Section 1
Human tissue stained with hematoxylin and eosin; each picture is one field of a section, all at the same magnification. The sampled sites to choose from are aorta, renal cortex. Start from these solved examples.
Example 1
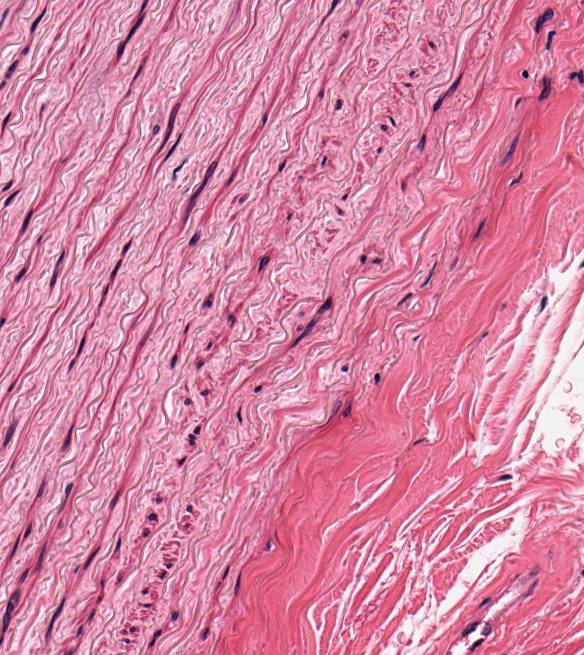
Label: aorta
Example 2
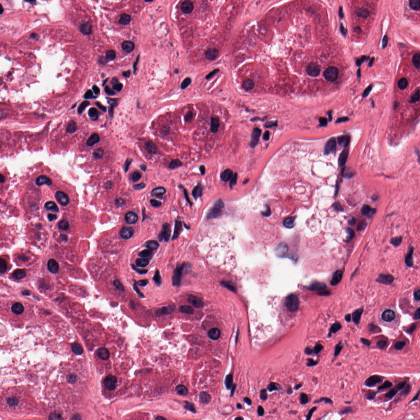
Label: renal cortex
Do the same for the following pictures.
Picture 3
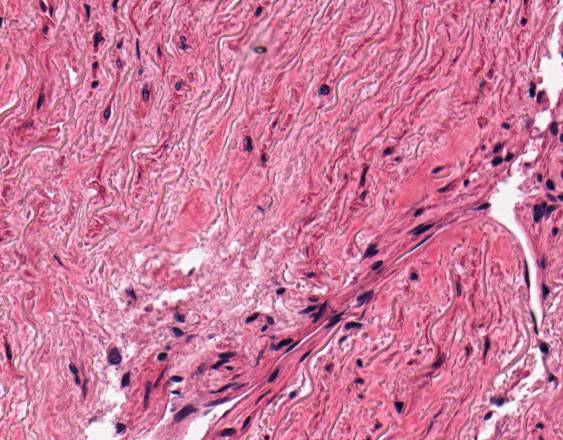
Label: aorta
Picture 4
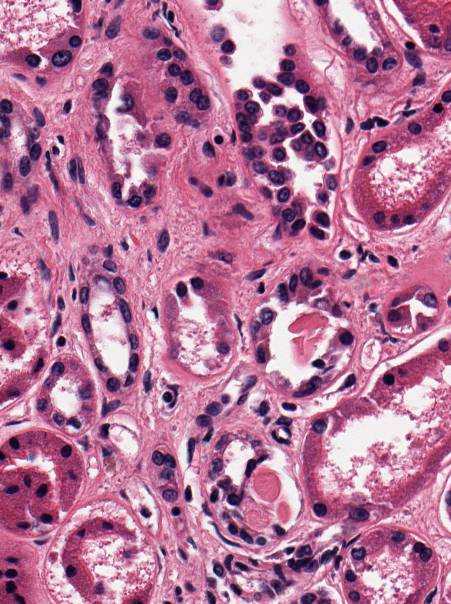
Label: renal cortex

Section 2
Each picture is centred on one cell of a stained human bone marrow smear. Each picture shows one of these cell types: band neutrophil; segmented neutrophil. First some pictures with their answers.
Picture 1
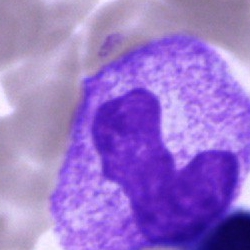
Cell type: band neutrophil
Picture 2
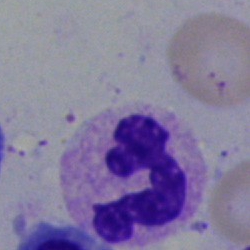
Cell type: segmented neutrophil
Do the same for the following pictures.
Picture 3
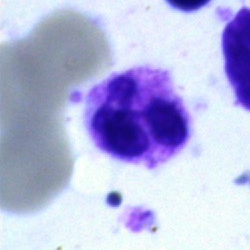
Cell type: segmented neutrophil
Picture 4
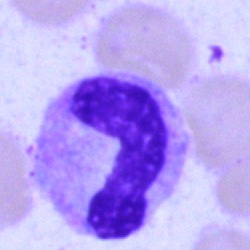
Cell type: band neutrophil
